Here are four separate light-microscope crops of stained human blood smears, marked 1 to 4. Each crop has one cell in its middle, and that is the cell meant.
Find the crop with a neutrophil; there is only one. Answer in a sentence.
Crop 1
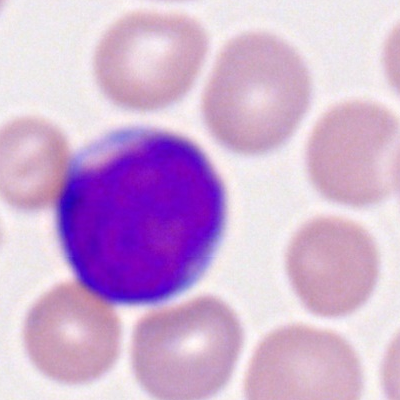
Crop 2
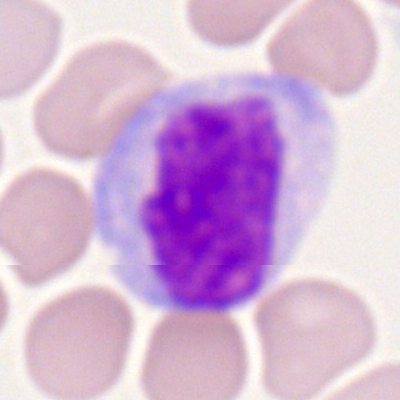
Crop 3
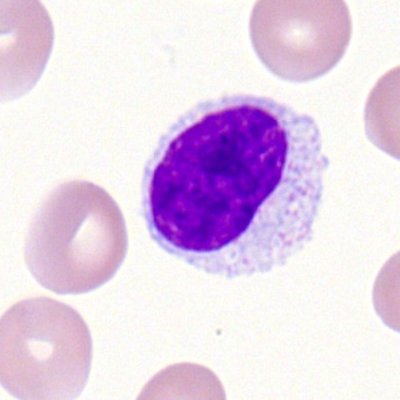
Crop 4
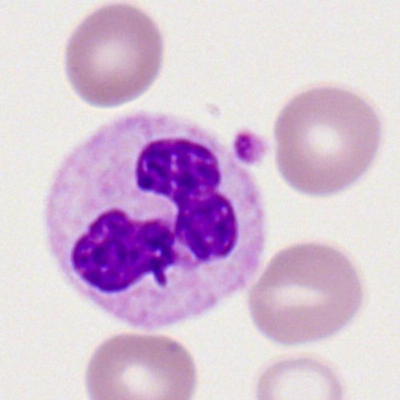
It is crop 4 that shows a neutrophil.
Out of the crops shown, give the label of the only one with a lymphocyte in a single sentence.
Crop 3 alone, of all the crops, shows a lymphocyte.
